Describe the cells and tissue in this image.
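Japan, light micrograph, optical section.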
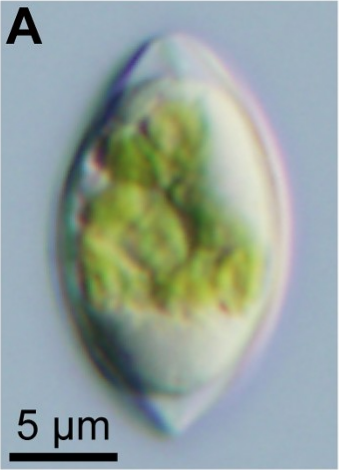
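A single spindle-shaped cell with pointed poles lies inside a thick, clear wall that stands apart from its contents, with ridges showing along the margins. The interior is packed with a lobed, granular green chloroplast mass, with a paler zone toward one end.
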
